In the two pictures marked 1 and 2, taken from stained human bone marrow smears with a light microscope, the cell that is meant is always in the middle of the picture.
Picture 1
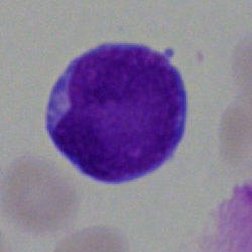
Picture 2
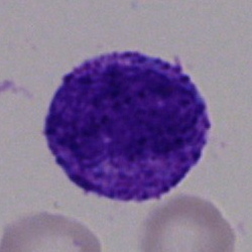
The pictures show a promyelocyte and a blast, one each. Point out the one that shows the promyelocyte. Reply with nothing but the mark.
2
